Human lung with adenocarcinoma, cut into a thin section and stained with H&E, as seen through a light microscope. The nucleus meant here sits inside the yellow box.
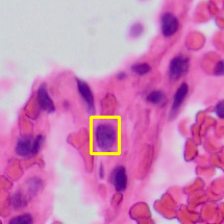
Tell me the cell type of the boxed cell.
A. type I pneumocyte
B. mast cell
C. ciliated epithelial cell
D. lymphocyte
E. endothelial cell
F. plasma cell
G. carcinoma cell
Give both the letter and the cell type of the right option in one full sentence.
Option A is the correct one, since the boxed cell is a type I pneumocyte.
